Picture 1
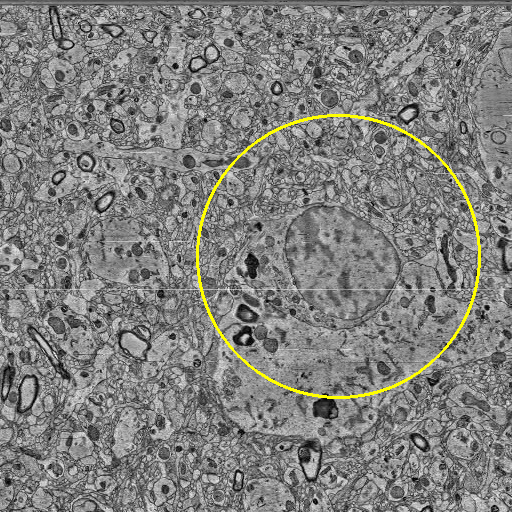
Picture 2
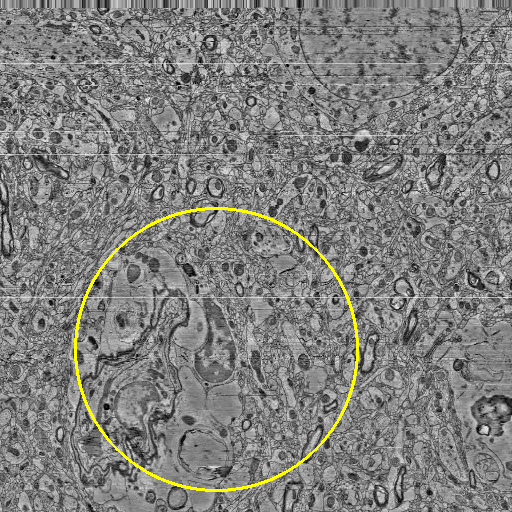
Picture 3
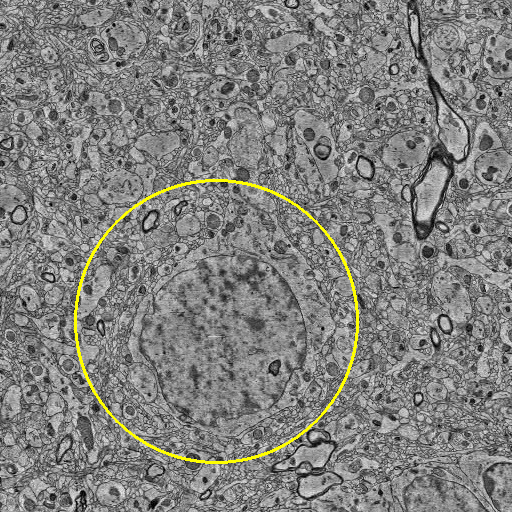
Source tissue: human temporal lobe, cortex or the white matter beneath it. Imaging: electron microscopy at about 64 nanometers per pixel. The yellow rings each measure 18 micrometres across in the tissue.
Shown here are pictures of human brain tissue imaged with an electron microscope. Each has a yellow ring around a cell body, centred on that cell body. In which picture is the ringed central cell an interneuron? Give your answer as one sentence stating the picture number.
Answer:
My answer is picture 3, where the ringed cell at the centre is the one sought.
